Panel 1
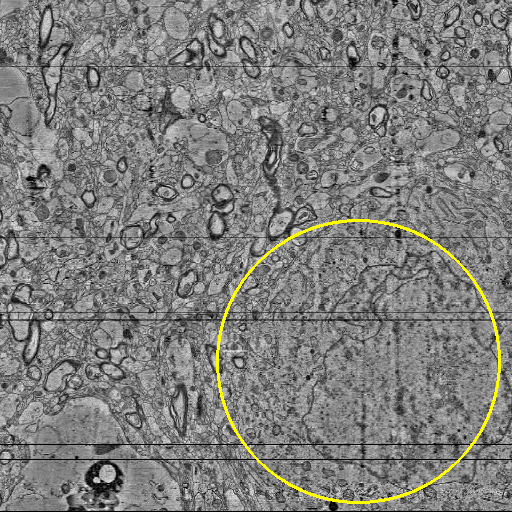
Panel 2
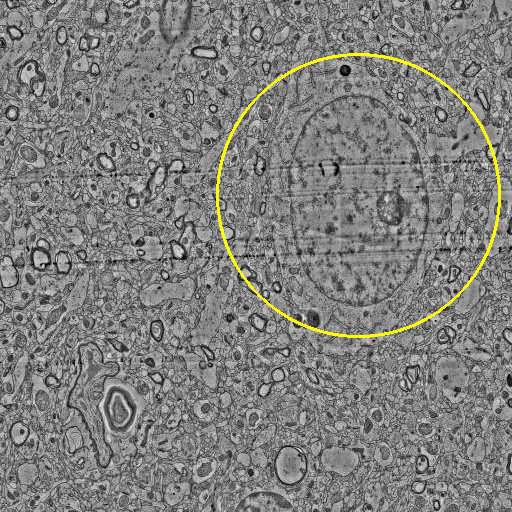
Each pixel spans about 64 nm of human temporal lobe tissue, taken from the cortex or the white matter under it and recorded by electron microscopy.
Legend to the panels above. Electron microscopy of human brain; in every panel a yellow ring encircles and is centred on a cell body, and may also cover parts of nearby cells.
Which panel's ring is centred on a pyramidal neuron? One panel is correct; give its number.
1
